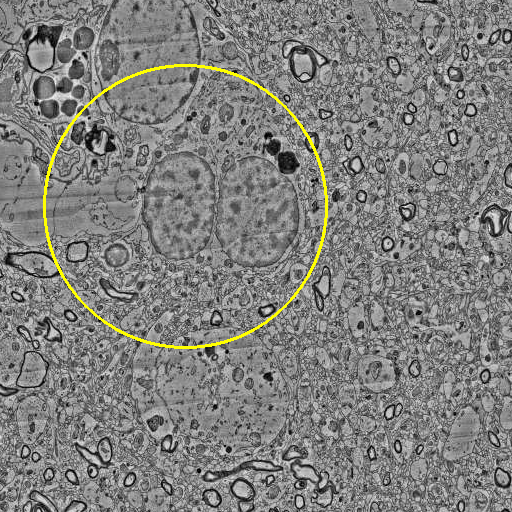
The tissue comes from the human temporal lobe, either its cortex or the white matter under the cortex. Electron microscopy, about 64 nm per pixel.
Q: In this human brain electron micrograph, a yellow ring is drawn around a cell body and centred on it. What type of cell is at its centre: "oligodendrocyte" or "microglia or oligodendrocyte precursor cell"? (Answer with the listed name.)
oligodendrocyte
